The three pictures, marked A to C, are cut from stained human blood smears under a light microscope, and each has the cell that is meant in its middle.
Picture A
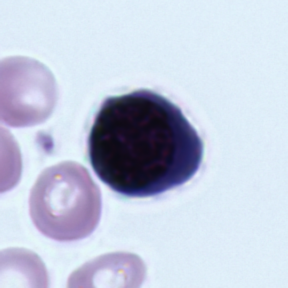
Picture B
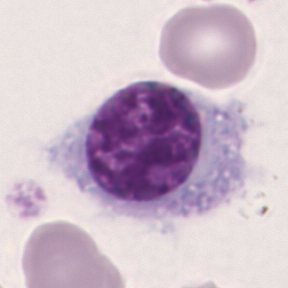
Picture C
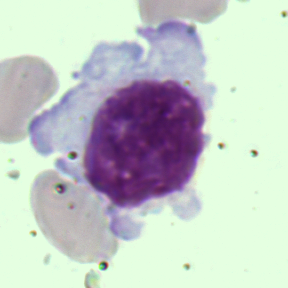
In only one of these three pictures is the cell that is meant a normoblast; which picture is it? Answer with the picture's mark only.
A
